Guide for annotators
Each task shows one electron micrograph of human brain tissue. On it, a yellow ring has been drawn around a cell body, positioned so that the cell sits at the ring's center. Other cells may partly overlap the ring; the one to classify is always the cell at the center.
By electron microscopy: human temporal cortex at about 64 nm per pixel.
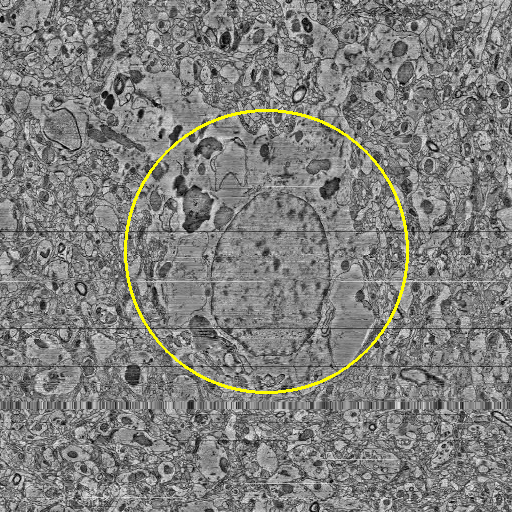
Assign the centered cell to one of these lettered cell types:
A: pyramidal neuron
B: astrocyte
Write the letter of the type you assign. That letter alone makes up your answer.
B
